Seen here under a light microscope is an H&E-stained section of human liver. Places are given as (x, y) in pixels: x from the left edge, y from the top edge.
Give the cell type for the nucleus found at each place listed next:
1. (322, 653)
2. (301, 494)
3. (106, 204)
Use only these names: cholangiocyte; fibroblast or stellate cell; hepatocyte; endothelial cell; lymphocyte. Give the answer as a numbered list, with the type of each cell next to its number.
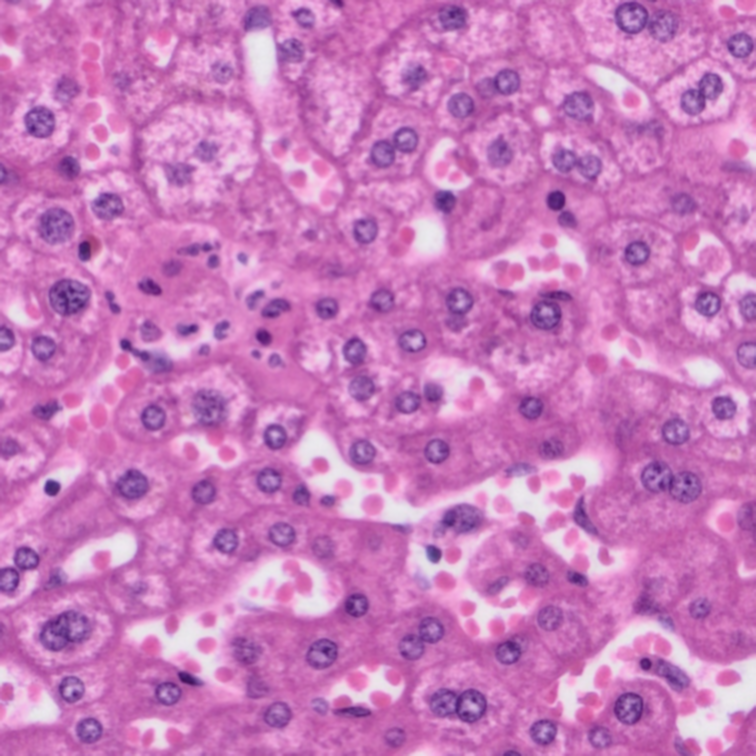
1. hepatocyte
2. fibroblast or stellate cell
3. hepatocyte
